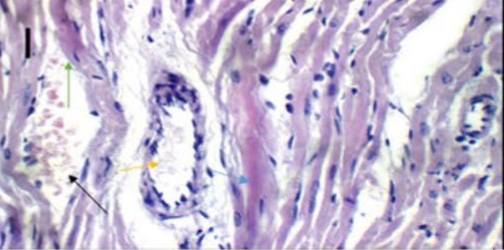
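Cardiac muscle cut lengthwise, with long wavy muscle fibres that stain pale purple-pink and carry oval, centrally placed dark blue nuclei. Toward the left, a gap between fibres holds small reddish blood cells, a mildly congested capillary. A second small vessel with a ring of nuclei sits near the right edge. Clefts of clear space separate several bundles of fibres.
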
